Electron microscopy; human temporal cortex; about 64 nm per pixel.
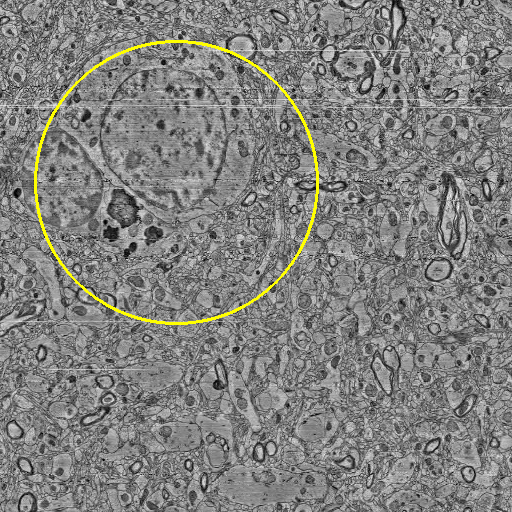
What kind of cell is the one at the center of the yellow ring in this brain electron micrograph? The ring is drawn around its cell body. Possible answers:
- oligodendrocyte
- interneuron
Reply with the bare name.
interneuron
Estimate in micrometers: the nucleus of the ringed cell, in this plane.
In this plane, roughly 10 by 8 micrometres.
